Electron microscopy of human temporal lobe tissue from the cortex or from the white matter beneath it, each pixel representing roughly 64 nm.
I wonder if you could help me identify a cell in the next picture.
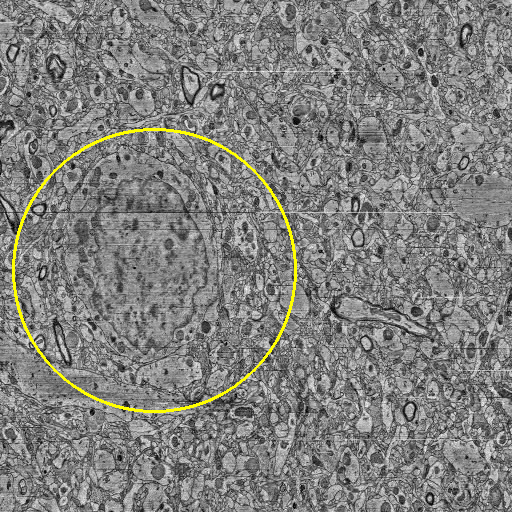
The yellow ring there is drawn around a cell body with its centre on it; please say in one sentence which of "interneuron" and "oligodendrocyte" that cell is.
The yellow ring is centred on an interneuron.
